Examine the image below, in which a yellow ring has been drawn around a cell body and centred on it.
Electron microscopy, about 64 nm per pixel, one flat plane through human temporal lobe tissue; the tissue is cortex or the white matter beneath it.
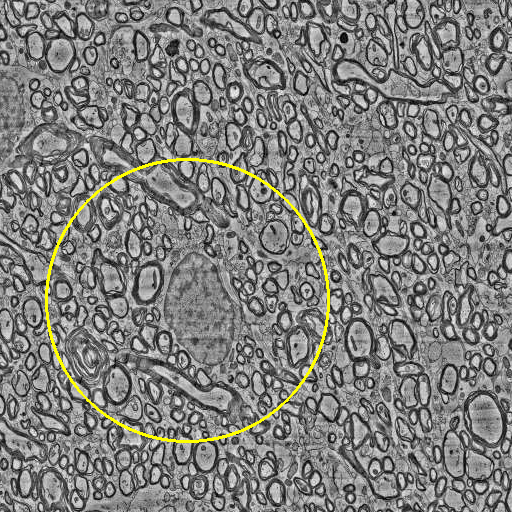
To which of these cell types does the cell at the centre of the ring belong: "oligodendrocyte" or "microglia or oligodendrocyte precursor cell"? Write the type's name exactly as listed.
oligodendrocyte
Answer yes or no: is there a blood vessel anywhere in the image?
No, no blood vessel can be seen.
